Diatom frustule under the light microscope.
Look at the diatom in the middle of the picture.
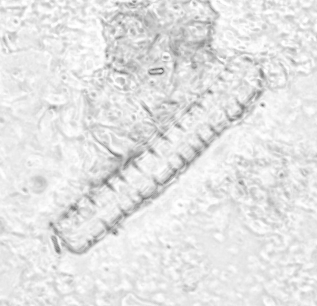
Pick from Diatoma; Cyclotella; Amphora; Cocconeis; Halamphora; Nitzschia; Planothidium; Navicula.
Diatoma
